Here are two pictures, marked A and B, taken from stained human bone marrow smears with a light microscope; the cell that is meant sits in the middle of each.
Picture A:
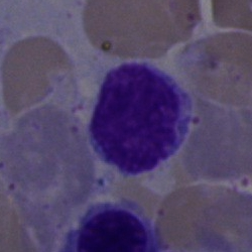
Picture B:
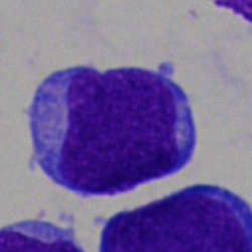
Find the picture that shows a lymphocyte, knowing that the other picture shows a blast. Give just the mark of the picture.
A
